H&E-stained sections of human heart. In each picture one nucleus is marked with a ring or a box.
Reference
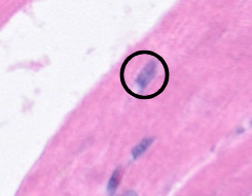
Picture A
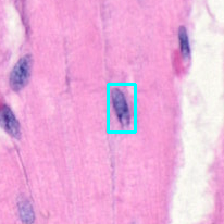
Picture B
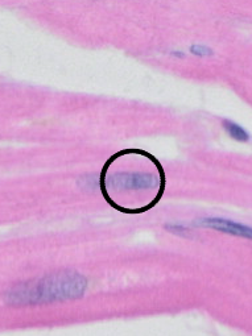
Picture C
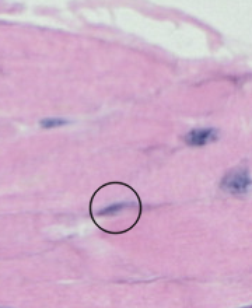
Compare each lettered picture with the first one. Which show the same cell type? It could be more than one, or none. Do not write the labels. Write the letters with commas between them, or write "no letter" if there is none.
A, C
